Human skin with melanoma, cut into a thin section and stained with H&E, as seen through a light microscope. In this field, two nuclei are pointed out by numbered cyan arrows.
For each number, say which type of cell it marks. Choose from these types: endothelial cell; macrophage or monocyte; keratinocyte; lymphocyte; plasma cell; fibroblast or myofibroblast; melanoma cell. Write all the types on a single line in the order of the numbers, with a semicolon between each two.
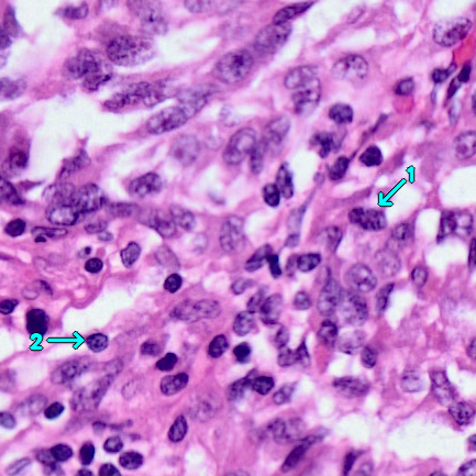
melanoma cell; lymphocyte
